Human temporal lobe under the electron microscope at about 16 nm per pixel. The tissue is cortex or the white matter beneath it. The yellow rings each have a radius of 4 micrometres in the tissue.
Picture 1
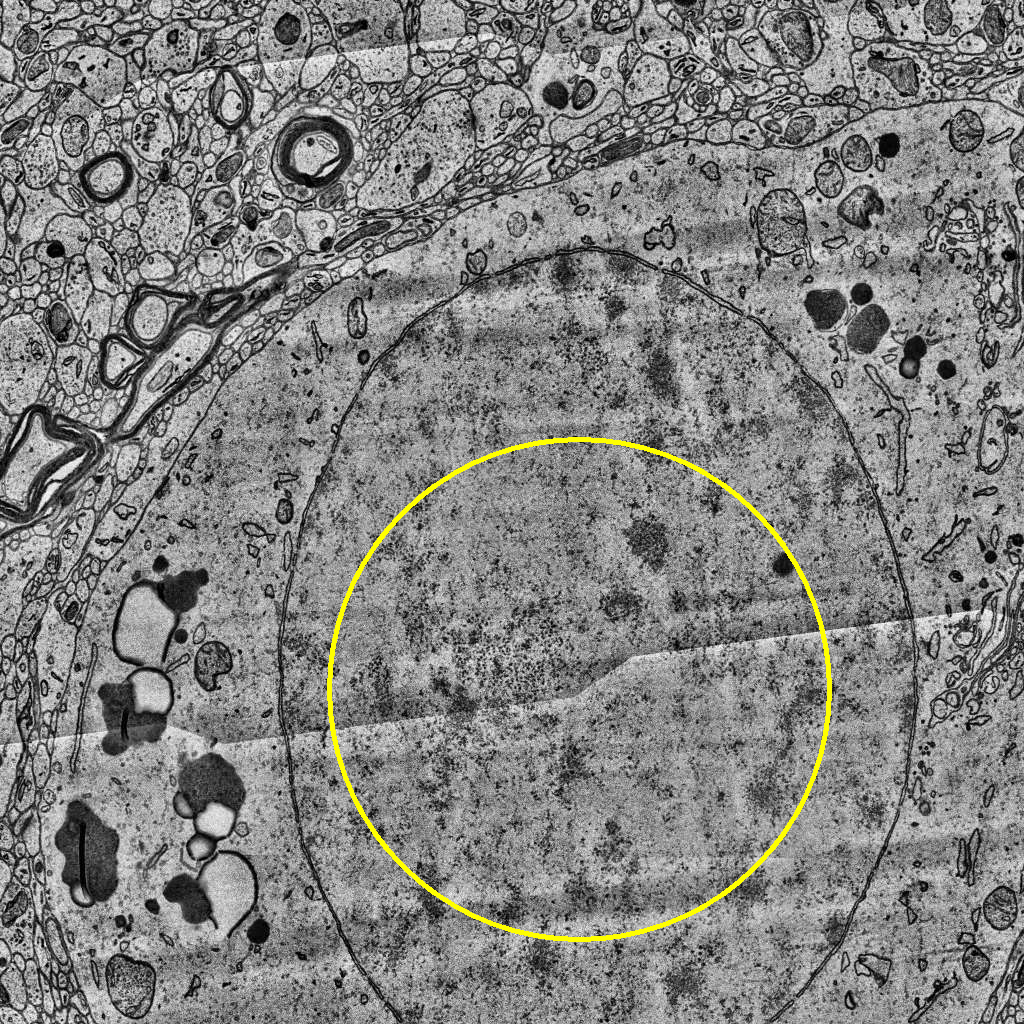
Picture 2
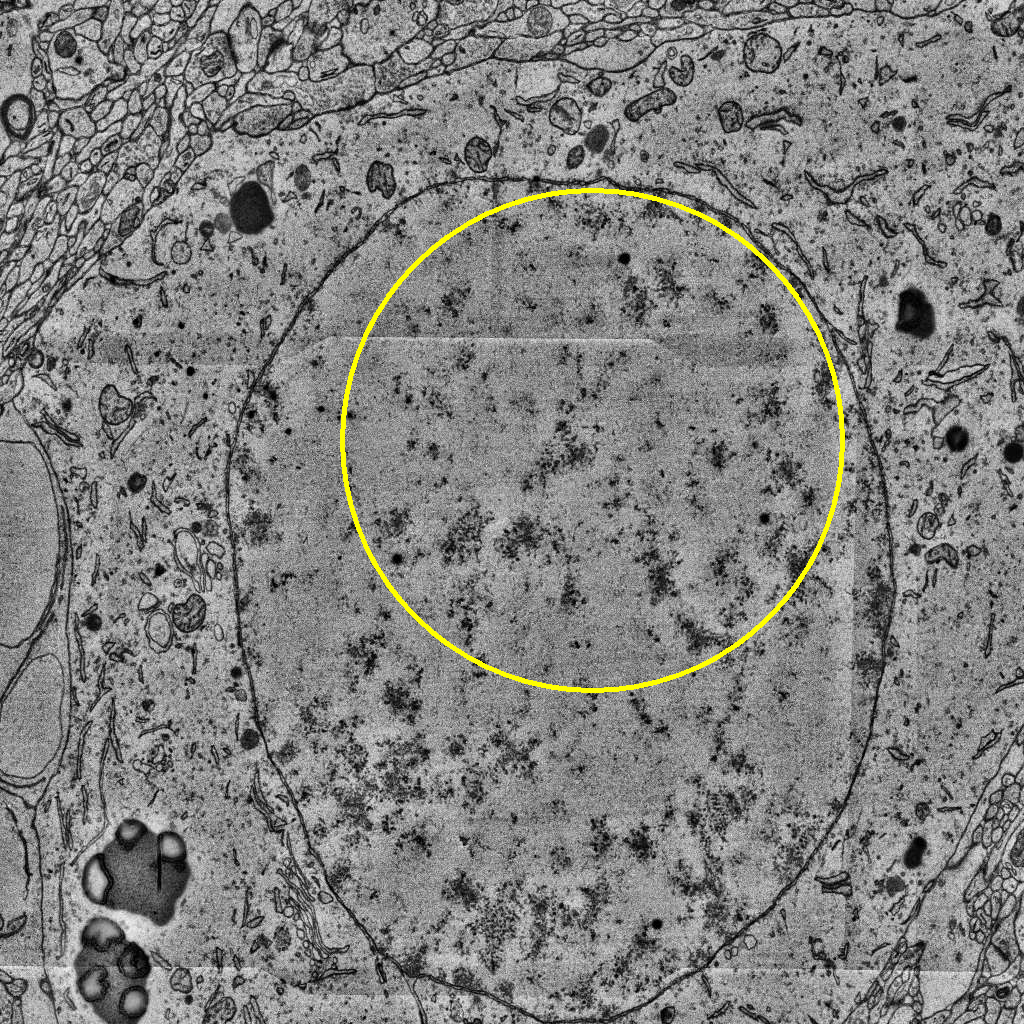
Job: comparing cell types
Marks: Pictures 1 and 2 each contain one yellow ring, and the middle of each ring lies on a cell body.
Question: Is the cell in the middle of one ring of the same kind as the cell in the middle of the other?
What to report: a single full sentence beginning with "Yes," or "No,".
Yes, the cell at the ring centre in Picture 1 and its partner in Picture 2 are of one kind.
